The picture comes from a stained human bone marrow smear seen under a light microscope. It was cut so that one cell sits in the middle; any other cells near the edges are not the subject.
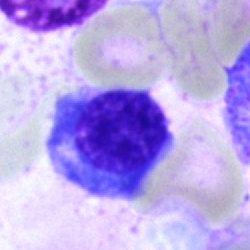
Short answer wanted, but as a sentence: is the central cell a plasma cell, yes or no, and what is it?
No, a plasma cell is not what the central cell is; it is an erythroblast.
